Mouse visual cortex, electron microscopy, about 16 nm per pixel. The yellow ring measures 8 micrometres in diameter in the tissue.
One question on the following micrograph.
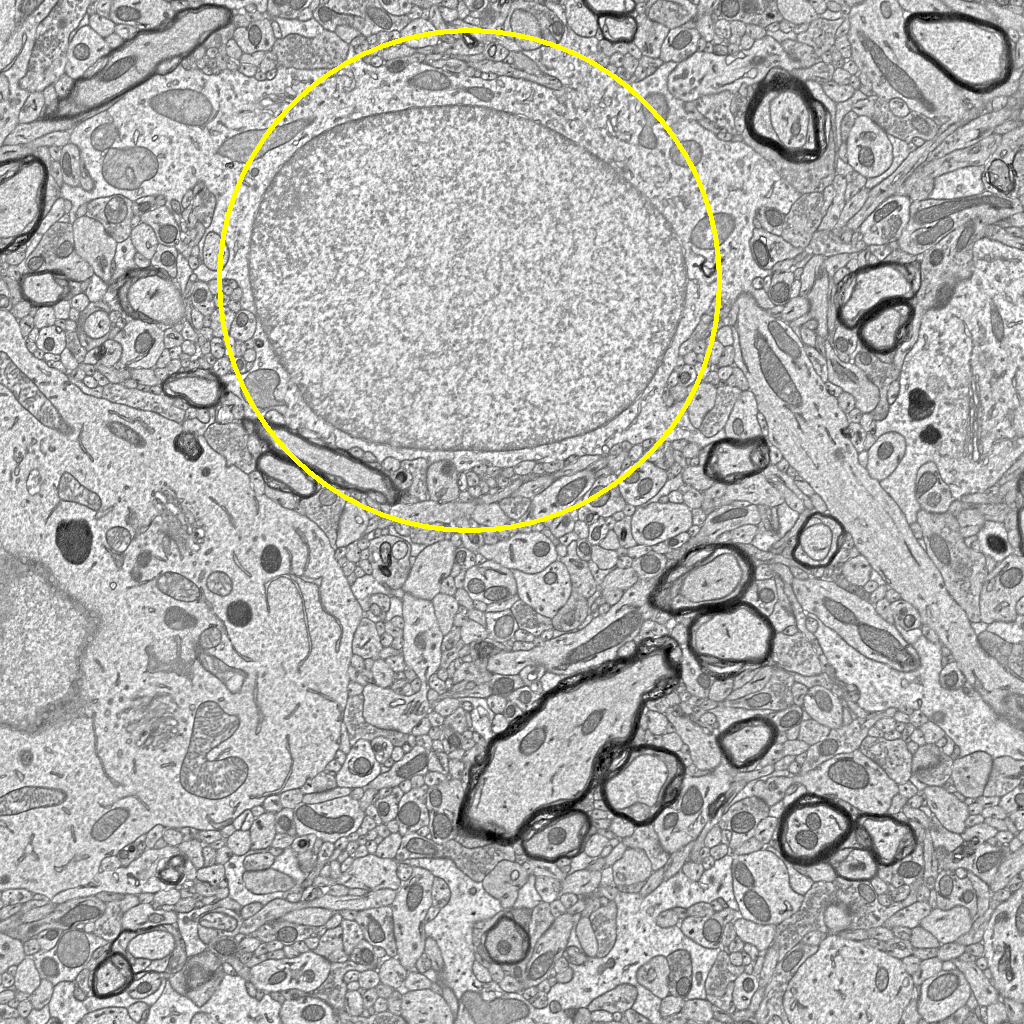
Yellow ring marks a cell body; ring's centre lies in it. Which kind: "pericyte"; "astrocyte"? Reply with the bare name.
astrocyte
